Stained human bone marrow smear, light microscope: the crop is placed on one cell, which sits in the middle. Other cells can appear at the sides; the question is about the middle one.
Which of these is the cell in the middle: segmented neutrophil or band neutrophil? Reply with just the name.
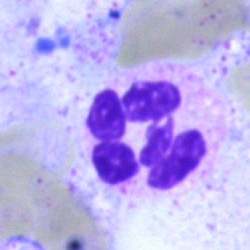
segmented neutrophil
